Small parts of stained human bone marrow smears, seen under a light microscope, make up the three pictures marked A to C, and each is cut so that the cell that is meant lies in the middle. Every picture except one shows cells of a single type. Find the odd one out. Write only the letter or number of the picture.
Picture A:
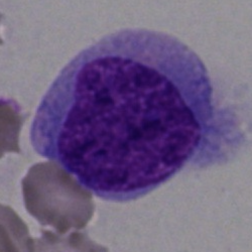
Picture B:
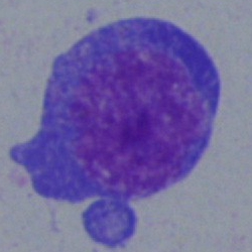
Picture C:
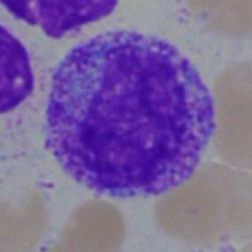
C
